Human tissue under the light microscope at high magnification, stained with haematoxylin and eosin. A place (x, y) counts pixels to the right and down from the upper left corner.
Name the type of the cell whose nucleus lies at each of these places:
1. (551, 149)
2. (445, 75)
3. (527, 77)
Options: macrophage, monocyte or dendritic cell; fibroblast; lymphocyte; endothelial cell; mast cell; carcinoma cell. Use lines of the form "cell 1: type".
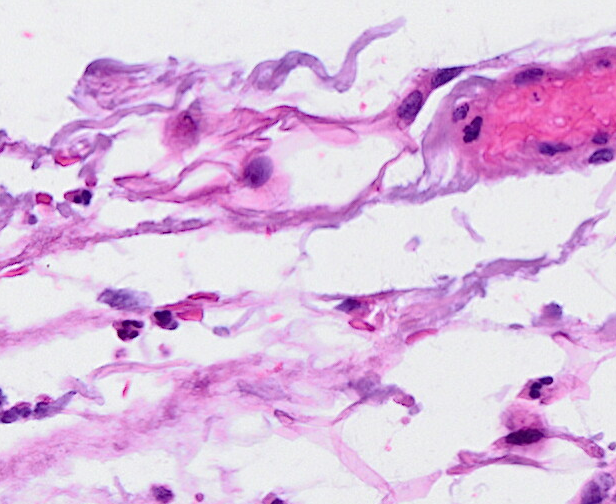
cell 1: endothelial cell
cell 2: fibroblast
cell 3: endothelial cell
